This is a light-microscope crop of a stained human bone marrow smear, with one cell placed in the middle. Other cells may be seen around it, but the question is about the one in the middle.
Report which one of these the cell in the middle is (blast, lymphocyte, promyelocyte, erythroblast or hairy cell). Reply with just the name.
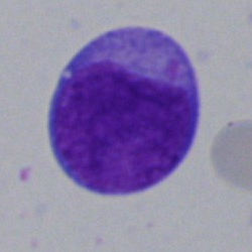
blast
